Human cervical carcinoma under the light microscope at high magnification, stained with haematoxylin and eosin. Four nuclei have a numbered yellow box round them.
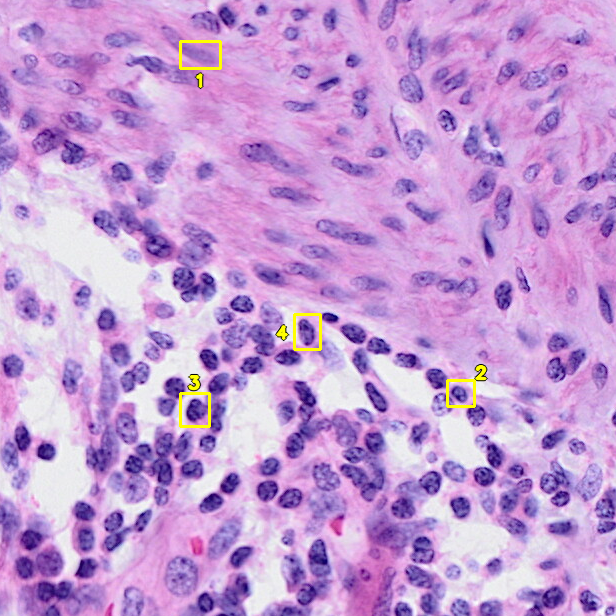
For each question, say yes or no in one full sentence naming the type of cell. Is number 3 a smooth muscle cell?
No, the cell with the number 3 is a lymphocyte, not a smooth muscle cell.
